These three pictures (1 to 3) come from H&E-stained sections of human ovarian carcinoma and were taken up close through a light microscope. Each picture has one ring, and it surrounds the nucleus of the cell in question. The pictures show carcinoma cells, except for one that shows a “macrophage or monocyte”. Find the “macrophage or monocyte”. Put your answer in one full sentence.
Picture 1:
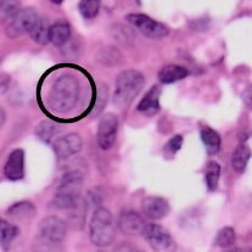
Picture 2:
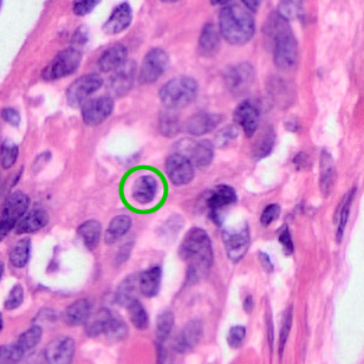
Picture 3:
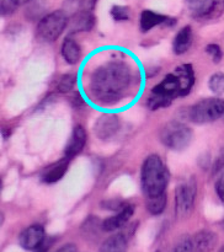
The picture with the “macrophage or monocyte” is 2.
